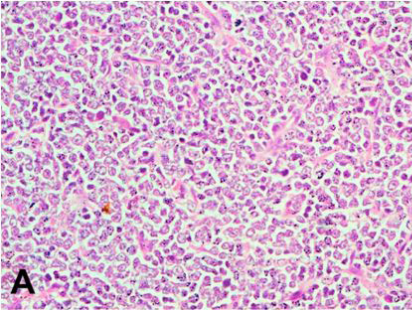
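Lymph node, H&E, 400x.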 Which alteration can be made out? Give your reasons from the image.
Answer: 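Diffuse, monotonous sheets of closely packed cells fill the field. No follicles or normal nodal architecture are visible. Cells have round to oval nuclei with scant cytoplasm.
Answer: sheets of blasts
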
